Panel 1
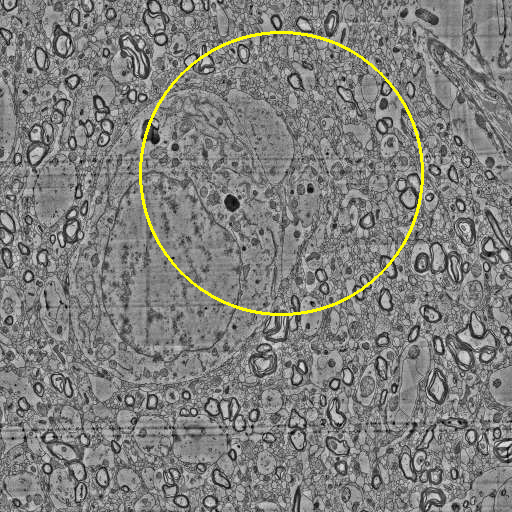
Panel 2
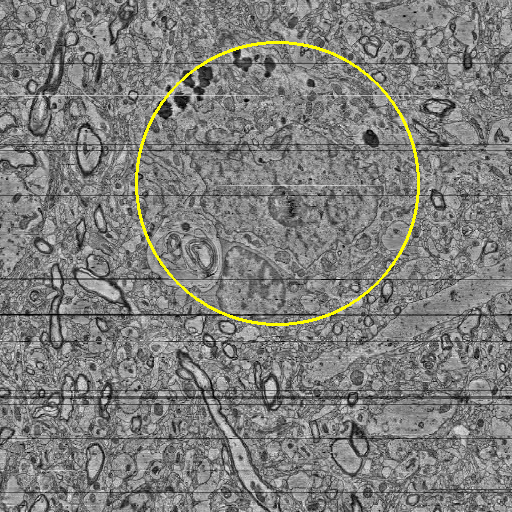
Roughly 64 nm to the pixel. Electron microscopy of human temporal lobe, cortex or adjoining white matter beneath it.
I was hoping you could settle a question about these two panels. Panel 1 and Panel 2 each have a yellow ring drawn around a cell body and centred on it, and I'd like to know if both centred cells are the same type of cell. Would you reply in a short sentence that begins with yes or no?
No, they are two types of cell.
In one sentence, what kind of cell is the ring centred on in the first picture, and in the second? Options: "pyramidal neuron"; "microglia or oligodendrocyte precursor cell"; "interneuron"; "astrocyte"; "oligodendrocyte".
The cell at the centre of the second ring is an interneuron; the first ring's cell is an oligodendrocyte.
